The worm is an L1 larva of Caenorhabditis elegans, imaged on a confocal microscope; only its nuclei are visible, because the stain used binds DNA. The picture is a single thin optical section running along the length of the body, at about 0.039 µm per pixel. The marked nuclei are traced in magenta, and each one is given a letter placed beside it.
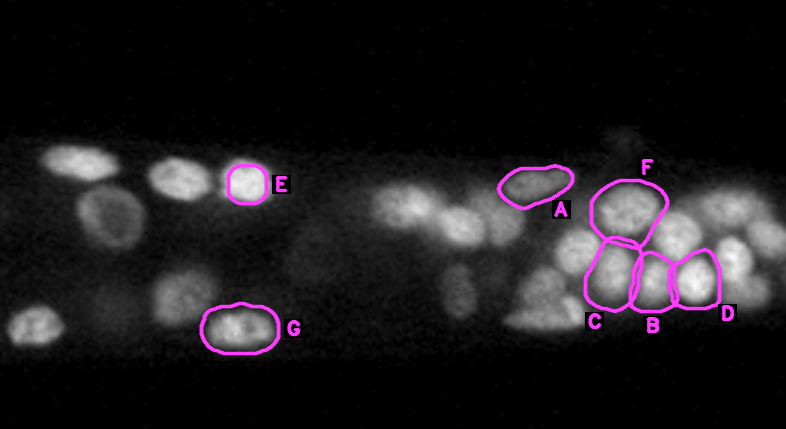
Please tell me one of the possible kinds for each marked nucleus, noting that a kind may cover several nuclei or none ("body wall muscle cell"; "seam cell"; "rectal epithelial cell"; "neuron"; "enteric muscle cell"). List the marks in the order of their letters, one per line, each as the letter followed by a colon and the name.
A: rectal epithelial cell
B: enteric muscle cell
C: neuron
D: neuron
E: neuron
F: rectal epithelial cell
G: body wall muscle cell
